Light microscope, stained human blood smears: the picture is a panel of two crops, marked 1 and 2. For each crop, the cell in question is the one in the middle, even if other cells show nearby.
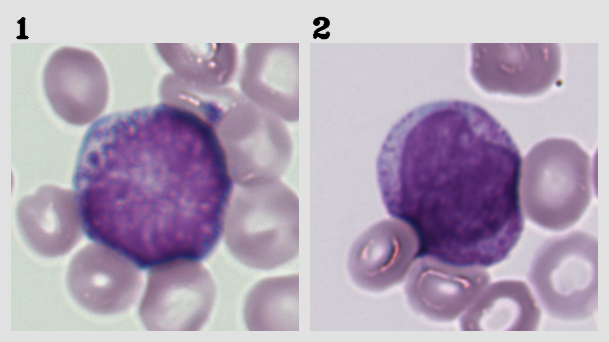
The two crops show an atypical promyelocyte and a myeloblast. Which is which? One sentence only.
Crop 1 is a myeloblast, while an atypical promyelocyte is the cell in crop 2.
